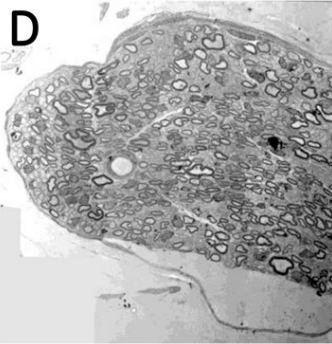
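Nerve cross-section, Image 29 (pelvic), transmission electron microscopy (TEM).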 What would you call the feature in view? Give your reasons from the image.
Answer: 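Myelinated axons. Many round to irregular profiles are ringed by dark borders. These ringed profiles vary in size and are scattered across the whole section.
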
